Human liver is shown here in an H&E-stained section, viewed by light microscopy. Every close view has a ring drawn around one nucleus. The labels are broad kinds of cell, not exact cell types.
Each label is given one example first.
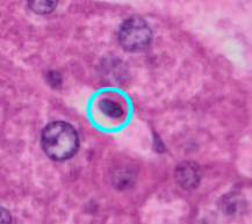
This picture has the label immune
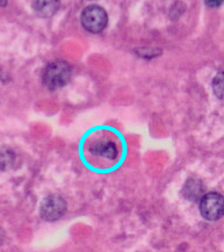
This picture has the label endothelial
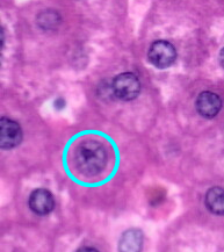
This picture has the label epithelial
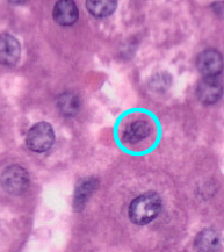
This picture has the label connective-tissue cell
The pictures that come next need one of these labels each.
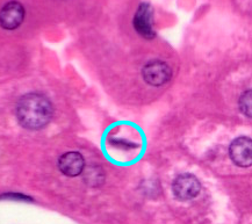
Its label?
endothelial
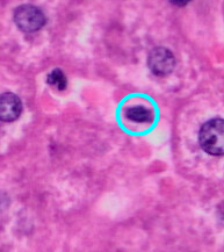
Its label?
immune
